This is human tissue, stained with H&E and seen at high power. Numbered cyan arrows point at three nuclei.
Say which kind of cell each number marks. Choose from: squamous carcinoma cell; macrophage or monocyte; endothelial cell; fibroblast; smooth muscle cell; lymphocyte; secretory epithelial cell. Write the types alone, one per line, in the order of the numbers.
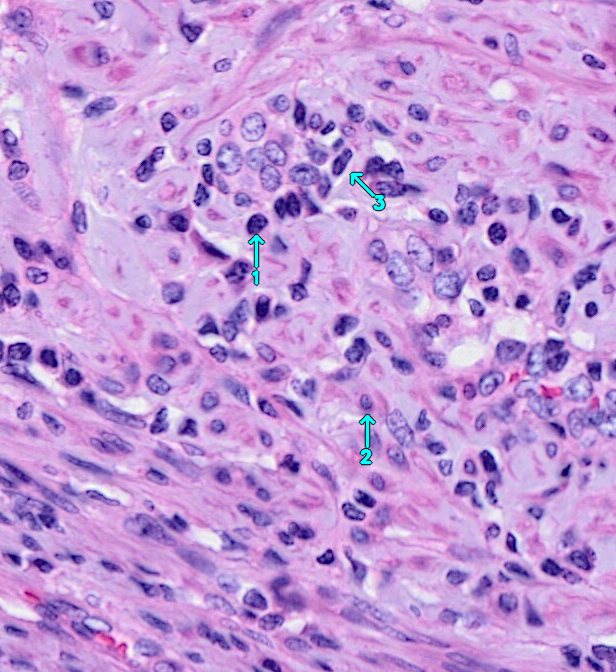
lymphocyte
smooth muscle cell
lymphocyte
